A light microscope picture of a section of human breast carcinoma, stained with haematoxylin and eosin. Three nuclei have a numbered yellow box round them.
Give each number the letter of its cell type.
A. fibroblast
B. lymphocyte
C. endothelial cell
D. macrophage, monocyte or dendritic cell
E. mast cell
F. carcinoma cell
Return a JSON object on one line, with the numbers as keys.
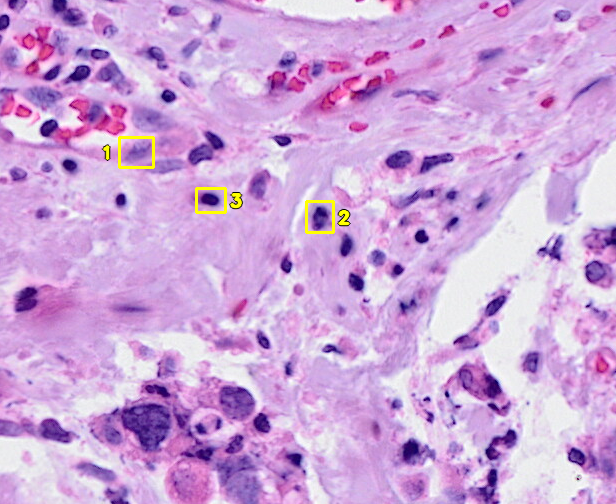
{"1": "C", "2": "B", "3": "B"}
